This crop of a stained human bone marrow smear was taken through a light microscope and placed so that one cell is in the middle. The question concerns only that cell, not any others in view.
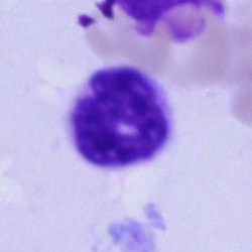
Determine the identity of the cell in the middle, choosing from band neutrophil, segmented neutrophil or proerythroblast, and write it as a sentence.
Among the cells in view, the one in the middle is a segmented neutrophil.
